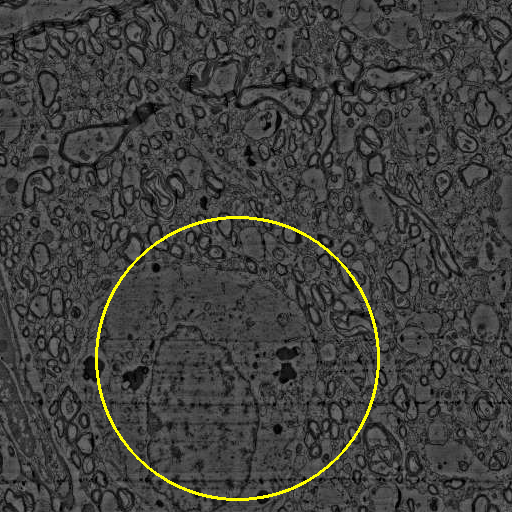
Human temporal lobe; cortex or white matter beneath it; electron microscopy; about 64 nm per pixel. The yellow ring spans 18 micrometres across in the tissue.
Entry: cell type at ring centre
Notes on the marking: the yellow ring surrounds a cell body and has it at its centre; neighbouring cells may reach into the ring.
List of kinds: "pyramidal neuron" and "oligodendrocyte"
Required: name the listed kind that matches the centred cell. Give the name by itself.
pyramidal neuron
